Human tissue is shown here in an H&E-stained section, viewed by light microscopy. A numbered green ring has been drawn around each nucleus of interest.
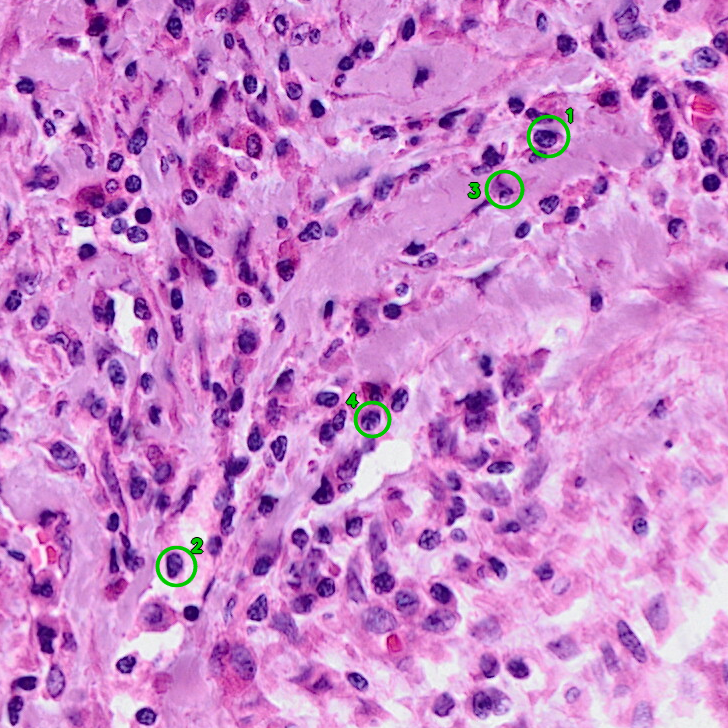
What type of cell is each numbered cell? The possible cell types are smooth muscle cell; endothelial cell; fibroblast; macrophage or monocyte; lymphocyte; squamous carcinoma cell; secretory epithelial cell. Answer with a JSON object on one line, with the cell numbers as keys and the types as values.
{"1": "lymphocyte", "2": "lymphocyte", "3": "macrophage or monocyte", "4": "lymphocyte"}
